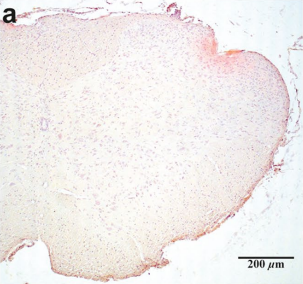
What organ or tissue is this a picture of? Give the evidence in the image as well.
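Spinal cord. A half of a cross-section with a small central canal near the midline on the left.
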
